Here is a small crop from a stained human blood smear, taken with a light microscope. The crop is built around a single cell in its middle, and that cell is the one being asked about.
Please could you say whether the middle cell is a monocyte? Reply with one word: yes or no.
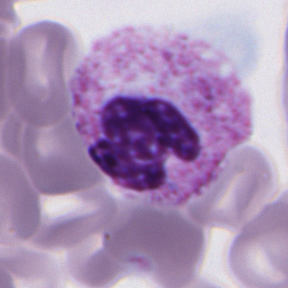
no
